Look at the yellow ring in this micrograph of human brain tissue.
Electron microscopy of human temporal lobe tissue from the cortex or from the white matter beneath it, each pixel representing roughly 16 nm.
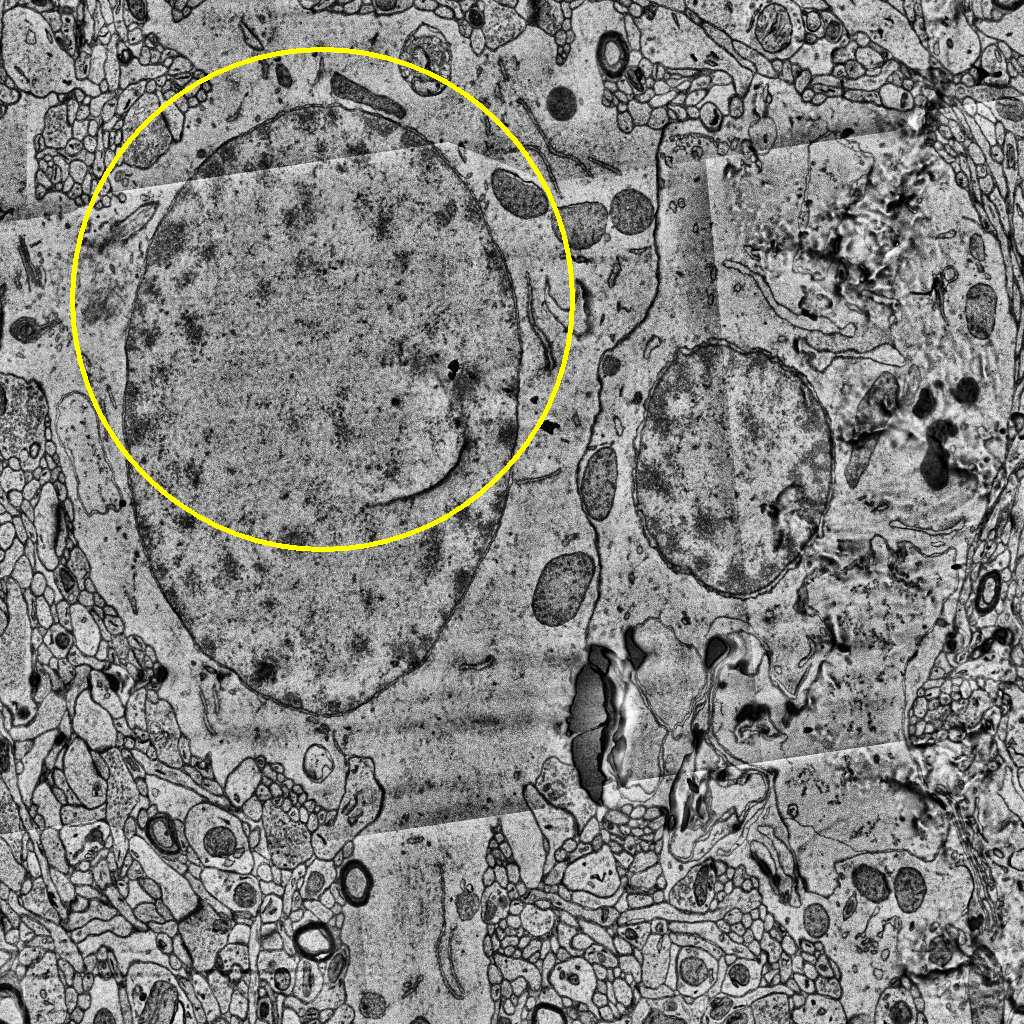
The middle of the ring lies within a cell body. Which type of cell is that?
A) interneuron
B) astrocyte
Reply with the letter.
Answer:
B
